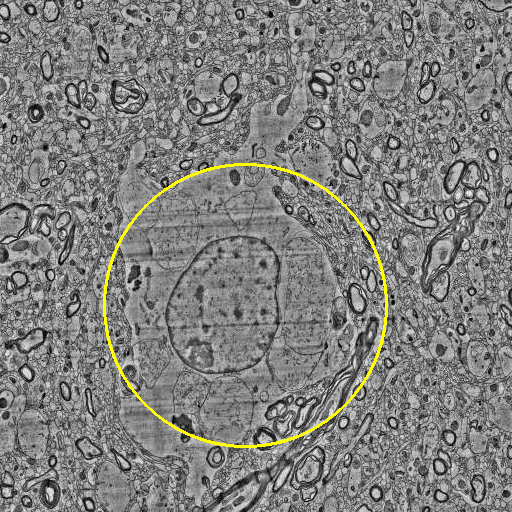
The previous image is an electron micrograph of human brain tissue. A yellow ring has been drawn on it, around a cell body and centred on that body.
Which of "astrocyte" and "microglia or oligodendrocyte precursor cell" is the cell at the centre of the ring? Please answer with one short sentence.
The cell body at the centre of the ring belongs to an astrocyte.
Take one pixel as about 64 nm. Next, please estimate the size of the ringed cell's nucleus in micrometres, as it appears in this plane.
In this plane the nucleus measures roughly 9 by 7 micrometres.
